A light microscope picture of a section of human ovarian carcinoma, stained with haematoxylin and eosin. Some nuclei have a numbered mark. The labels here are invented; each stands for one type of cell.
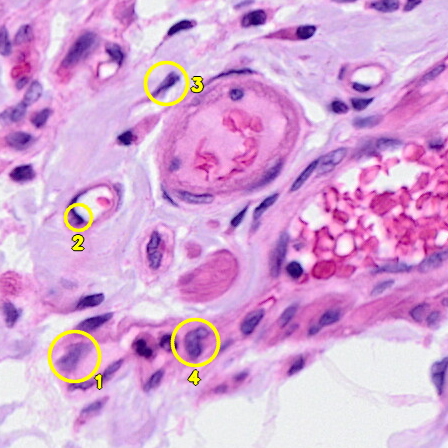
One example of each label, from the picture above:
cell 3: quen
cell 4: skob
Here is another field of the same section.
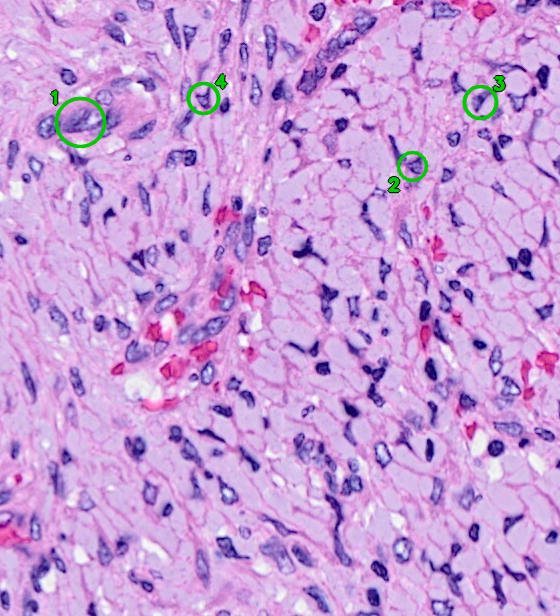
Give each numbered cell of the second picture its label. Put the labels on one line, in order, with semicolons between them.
skob; quen; quen; quen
